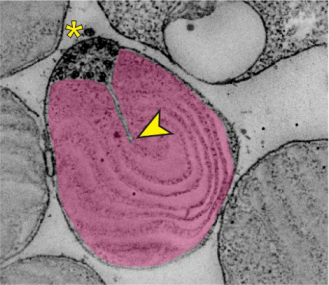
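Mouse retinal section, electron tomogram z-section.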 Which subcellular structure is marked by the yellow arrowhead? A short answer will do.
Incisures.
